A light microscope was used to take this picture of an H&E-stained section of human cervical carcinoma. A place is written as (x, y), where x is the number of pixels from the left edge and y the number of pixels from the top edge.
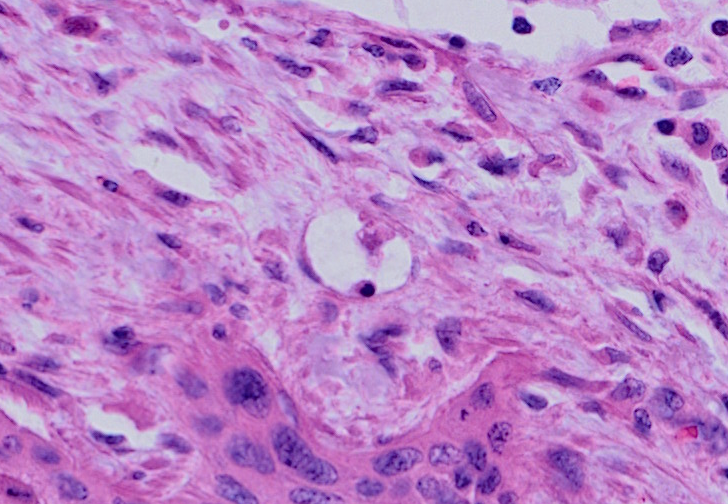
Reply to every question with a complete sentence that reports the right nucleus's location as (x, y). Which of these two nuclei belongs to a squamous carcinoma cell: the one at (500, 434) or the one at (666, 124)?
The nucleus that sits at (500, 434) is the nucleus of a squamous carcinoma cell.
